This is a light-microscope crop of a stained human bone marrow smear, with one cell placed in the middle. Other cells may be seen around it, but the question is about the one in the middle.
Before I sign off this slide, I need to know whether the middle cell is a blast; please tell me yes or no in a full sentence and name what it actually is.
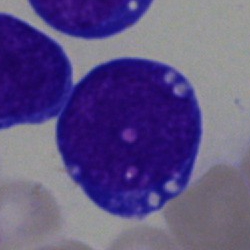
Yes, the cell at the crop's center is a blast.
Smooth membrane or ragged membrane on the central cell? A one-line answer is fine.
Smooth outline, no projections: that is the whole story of its edge.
